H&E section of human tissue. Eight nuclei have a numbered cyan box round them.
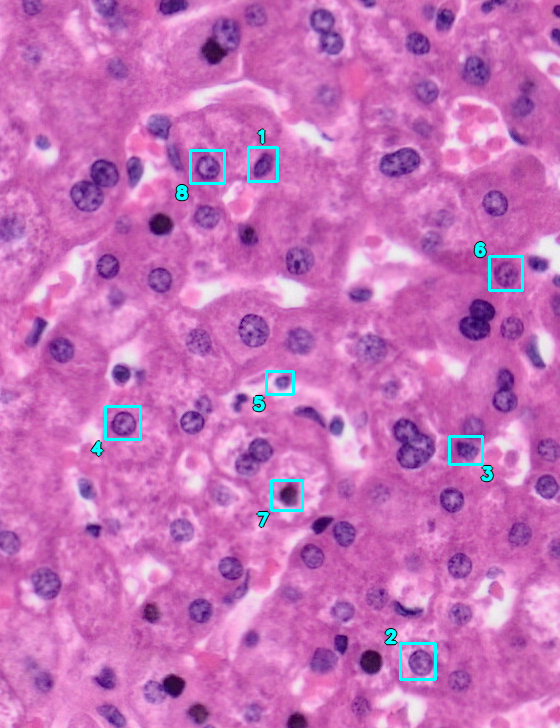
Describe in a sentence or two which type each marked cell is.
Cells 1 and 3 are fibroblasts or stellate cells. Cells 2, 4, 6, 7 and 8 are hepatocytes. Cell 5 is a lymphocyte.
